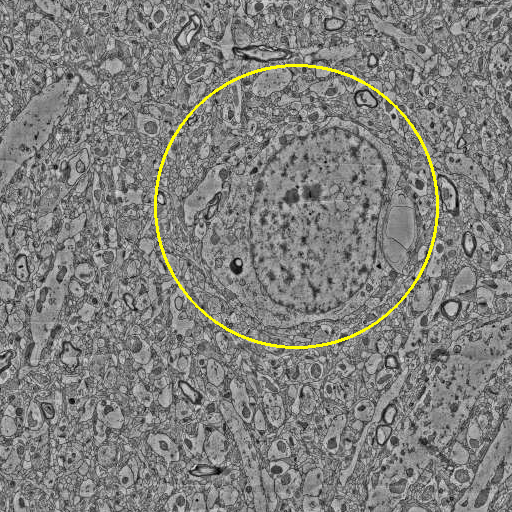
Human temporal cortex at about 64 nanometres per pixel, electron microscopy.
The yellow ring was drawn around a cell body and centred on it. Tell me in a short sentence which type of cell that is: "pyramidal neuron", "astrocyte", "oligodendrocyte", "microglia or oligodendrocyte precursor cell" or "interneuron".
The cell at the ring's centre is an interneuron.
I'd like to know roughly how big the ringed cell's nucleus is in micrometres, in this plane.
About 12 micrometres by about 9 micrometres in this plane.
